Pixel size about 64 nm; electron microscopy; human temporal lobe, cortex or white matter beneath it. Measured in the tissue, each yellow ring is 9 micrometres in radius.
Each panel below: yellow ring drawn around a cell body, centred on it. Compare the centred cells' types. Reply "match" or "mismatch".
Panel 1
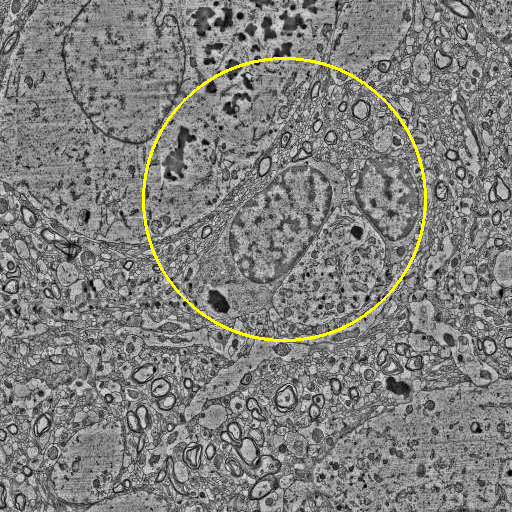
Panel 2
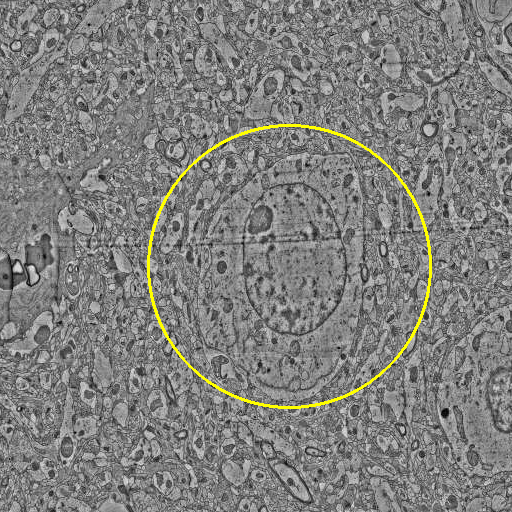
mismatch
